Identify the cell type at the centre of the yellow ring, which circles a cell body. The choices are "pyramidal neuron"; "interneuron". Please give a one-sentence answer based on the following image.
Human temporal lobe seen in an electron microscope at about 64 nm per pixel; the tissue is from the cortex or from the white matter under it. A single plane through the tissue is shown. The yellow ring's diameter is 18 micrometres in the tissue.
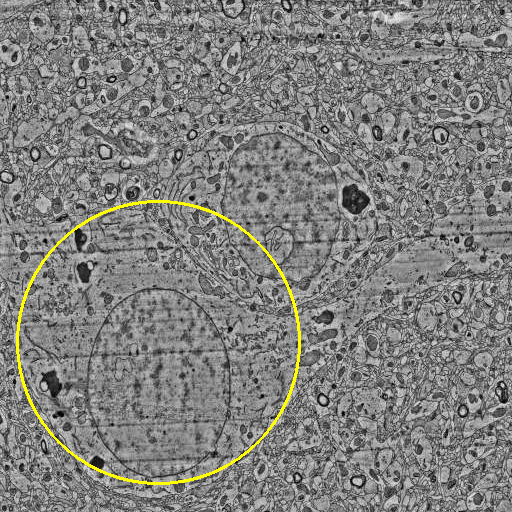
The cell marked by the ring is a pyramidal neuron.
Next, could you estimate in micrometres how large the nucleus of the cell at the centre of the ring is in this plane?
The nucleus has a long axis of about 12 micrometres and a short axis of about 9 micrometres in this plane.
